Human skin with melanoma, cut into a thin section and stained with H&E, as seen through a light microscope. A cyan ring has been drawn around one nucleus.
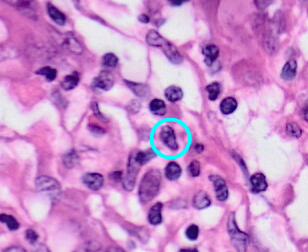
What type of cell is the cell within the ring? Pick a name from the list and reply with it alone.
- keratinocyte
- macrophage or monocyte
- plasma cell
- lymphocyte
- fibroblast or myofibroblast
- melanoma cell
lymphocyte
